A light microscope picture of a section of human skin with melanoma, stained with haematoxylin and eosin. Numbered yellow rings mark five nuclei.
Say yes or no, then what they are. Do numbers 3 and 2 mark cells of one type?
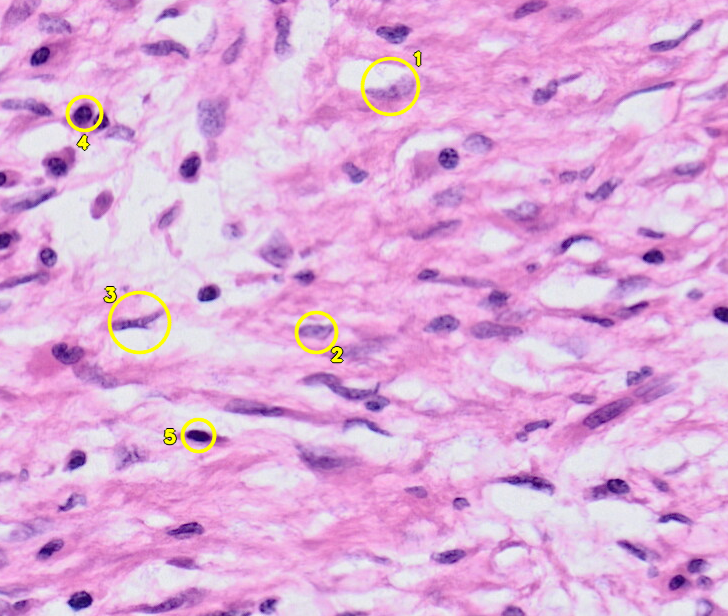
Yes, both are fibroblasts or myofibroblasts.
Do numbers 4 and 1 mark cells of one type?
No, cell 4 is a plasma cell and cell 1 is a fibroblast or myofibroblast.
